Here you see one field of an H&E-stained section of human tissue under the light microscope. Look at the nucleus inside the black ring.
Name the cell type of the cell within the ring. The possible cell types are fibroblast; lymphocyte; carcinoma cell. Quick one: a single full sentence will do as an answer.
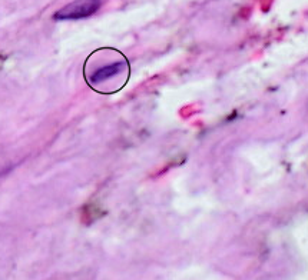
In the stained section, the cell within the ring is a fibroblast.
